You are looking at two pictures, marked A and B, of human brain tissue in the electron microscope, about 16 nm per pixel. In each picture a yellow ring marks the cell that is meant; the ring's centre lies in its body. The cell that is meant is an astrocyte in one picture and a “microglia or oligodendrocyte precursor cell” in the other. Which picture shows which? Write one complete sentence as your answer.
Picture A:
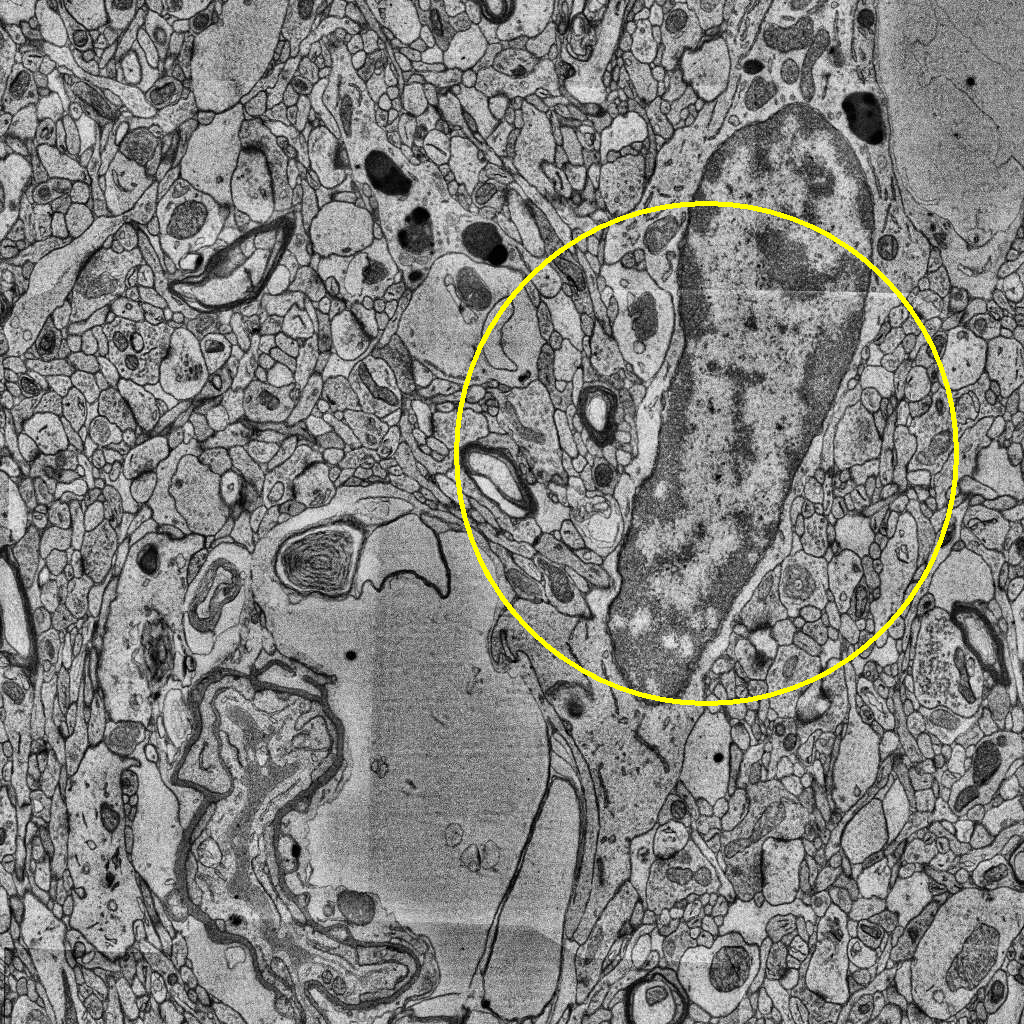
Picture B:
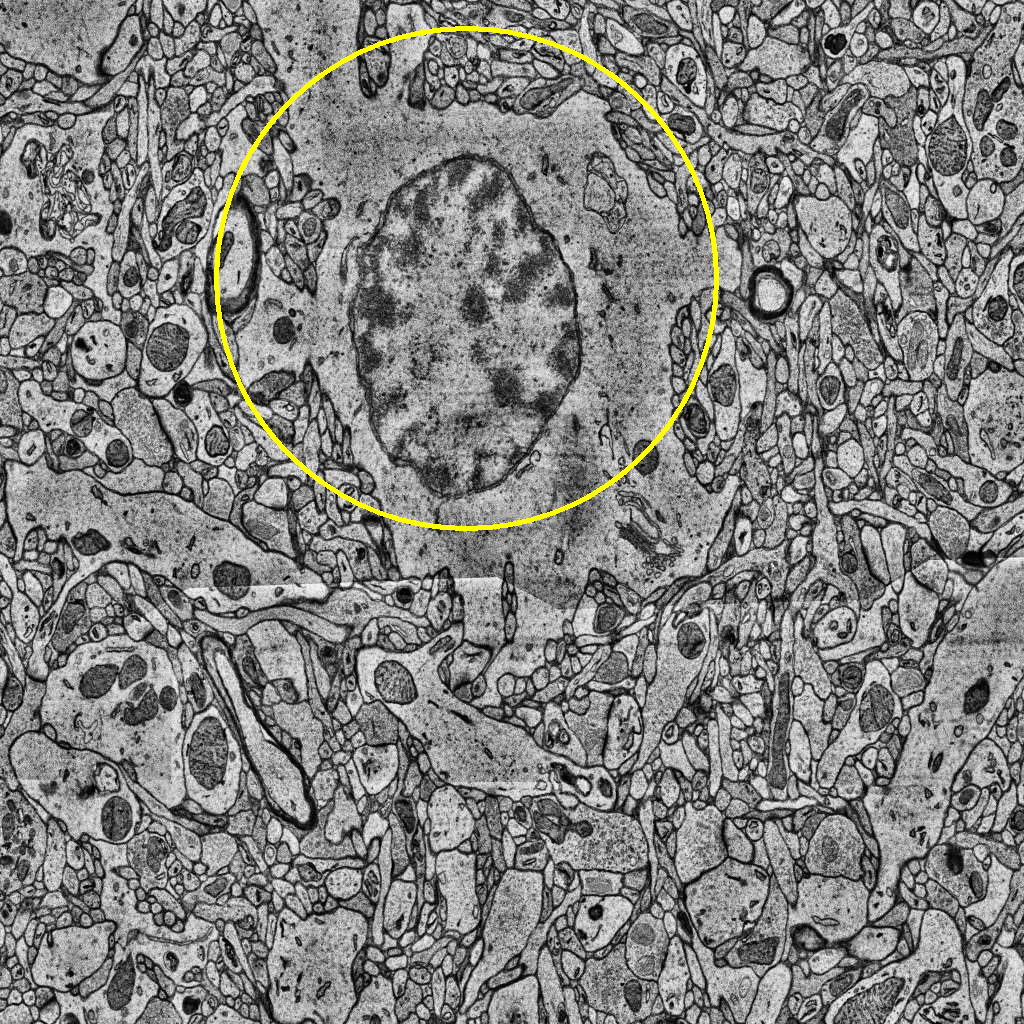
Picture A shows a “microglia or oligodendrocyte precursor cell” and picture B shows an astrocyte.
